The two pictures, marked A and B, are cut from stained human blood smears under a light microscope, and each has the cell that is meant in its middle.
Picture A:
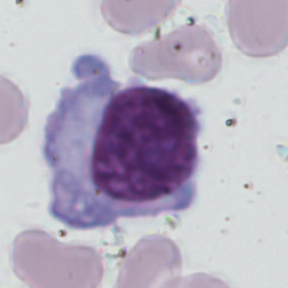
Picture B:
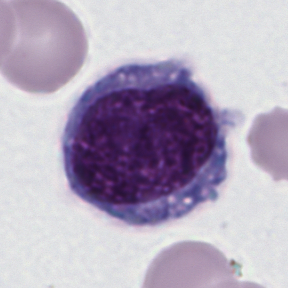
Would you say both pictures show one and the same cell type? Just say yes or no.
yes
